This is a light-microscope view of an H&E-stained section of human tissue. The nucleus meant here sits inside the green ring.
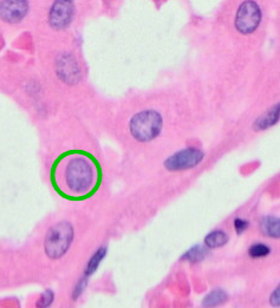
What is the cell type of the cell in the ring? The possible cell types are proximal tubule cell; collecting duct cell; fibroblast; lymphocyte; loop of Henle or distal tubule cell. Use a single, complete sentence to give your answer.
As a matter of cell type, the cell in the ring is a proximal tubule cell.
